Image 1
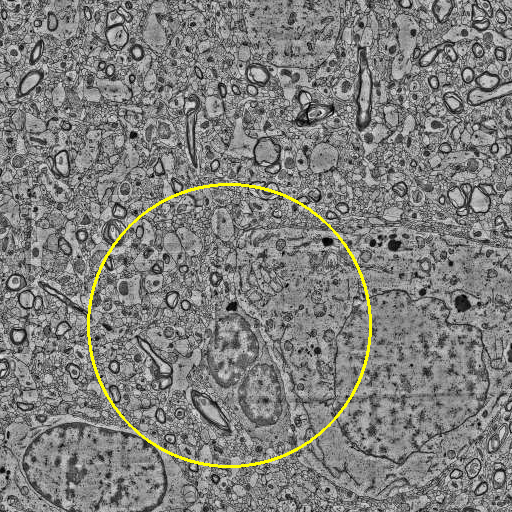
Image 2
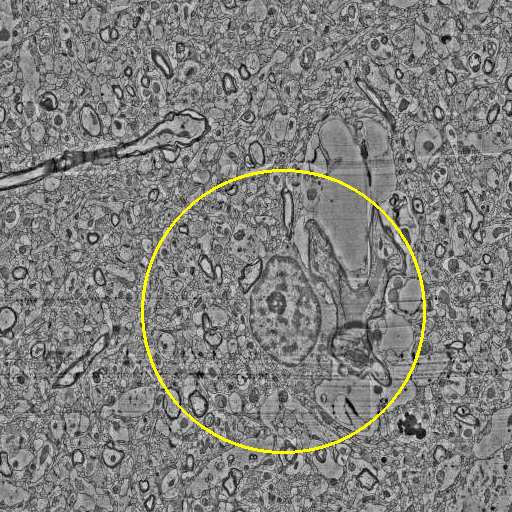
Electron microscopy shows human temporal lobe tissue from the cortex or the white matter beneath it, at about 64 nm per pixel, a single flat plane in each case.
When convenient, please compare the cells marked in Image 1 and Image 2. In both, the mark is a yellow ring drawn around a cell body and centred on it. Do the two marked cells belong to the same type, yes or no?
yes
